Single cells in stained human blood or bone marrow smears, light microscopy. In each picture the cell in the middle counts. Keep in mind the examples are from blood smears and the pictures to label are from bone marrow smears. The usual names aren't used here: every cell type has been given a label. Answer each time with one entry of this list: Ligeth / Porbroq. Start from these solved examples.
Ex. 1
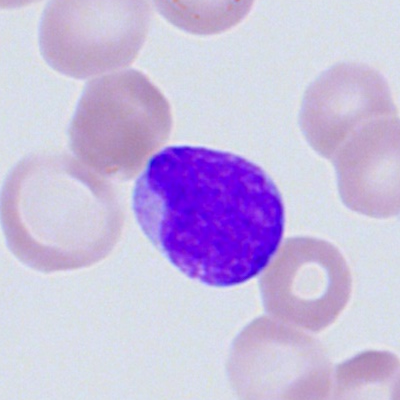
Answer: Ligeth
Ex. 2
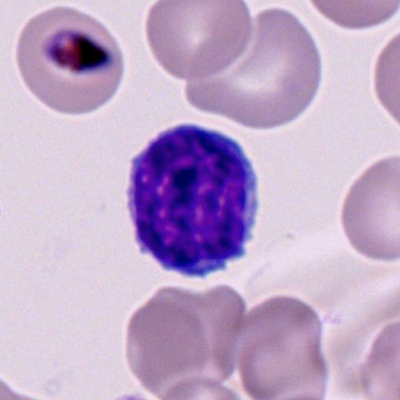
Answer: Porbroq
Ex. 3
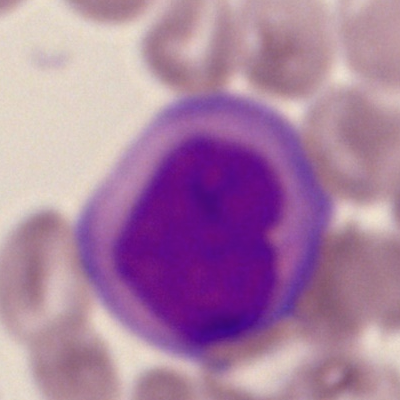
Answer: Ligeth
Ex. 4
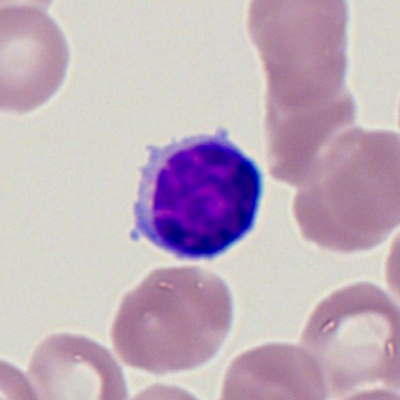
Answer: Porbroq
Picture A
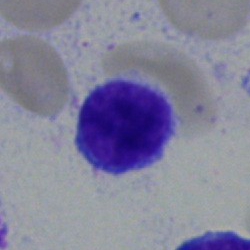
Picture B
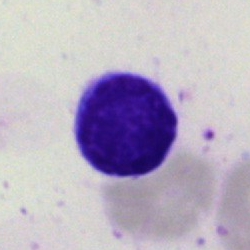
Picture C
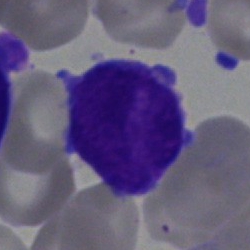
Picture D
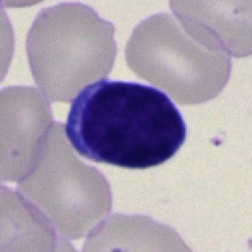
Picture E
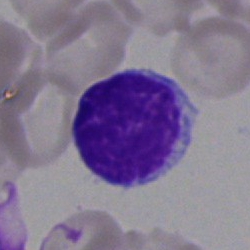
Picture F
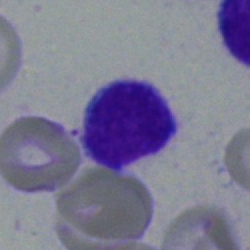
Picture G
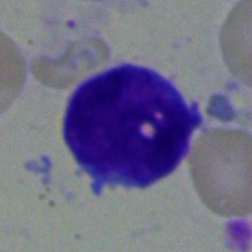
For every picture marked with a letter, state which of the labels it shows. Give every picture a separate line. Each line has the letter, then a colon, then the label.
A: Porbroq
B: Porbroq
C: Ligeth
D: Porbroq
E: Porbroq
F: Porbroq
G: Ligeth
